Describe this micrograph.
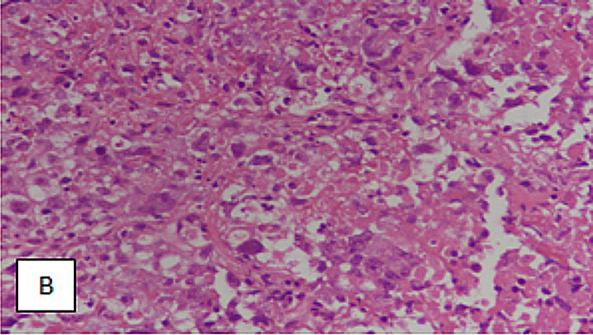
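The cells are large, with a moderate amount of pink cytoplasm. Their nuclei are atypical: irregular in outline, varying in size, and some are very large and darkly stained. Thin pink strands of stroma run between groups of cells, and small clear spaces open here and there.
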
